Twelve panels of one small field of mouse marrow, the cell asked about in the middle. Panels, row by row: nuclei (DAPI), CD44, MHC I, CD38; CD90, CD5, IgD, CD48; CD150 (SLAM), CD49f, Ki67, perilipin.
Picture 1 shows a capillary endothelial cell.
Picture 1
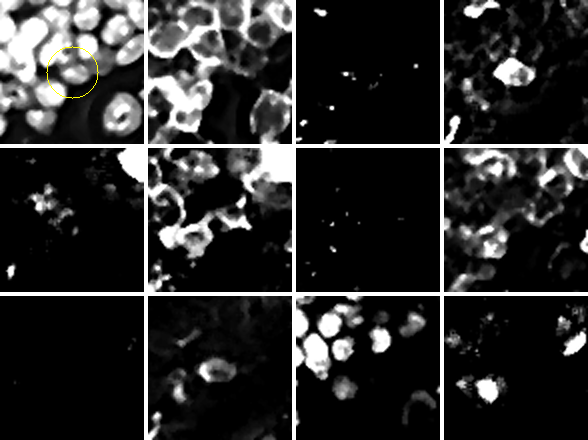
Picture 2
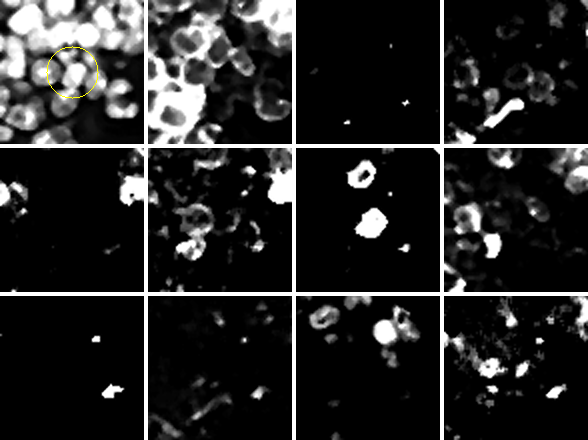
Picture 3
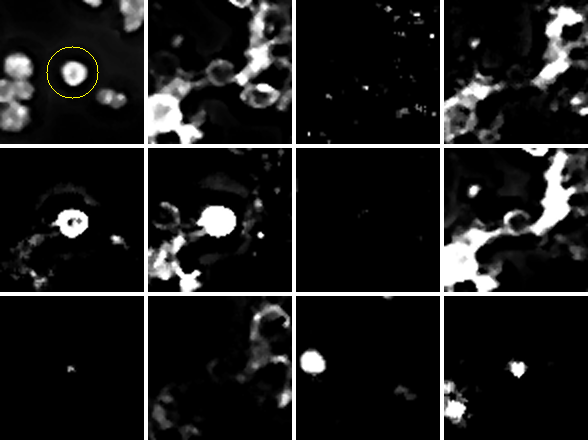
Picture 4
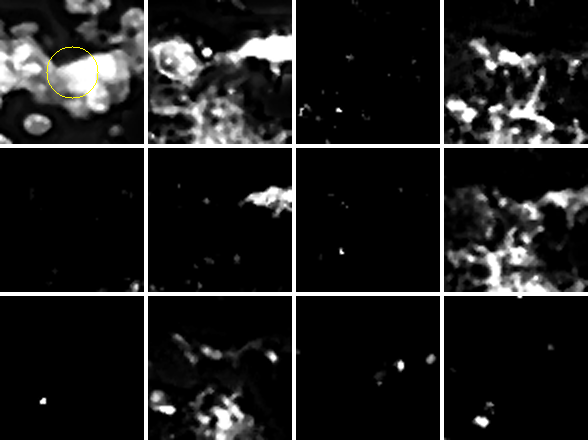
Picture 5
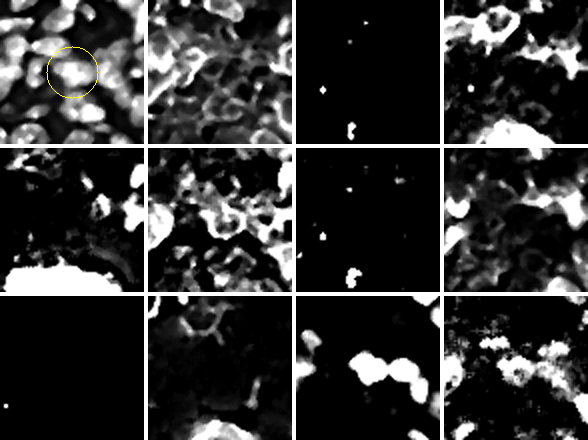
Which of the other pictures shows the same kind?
Picture 4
